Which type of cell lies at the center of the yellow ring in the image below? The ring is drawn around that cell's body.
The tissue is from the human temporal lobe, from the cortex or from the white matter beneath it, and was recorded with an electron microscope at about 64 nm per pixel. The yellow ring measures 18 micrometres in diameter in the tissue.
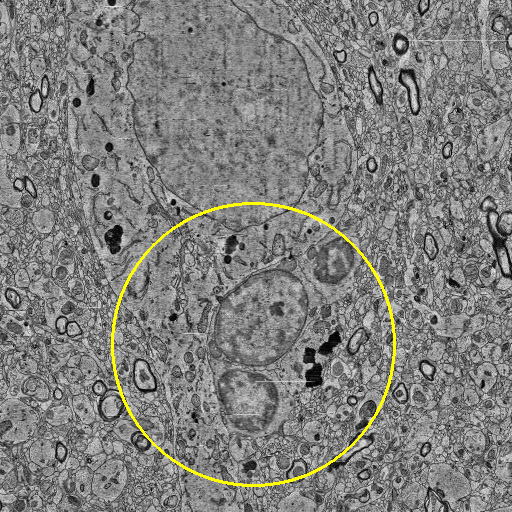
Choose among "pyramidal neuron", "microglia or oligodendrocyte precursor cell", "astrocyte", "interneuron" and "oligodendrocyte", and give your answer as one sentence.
The cell body at the center belongs to an oligodendrocyte.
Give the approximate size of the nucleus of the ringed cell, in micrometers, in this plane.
The nucleus of the ringed cell is approximately 7 by 5 micrometres in this plane.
